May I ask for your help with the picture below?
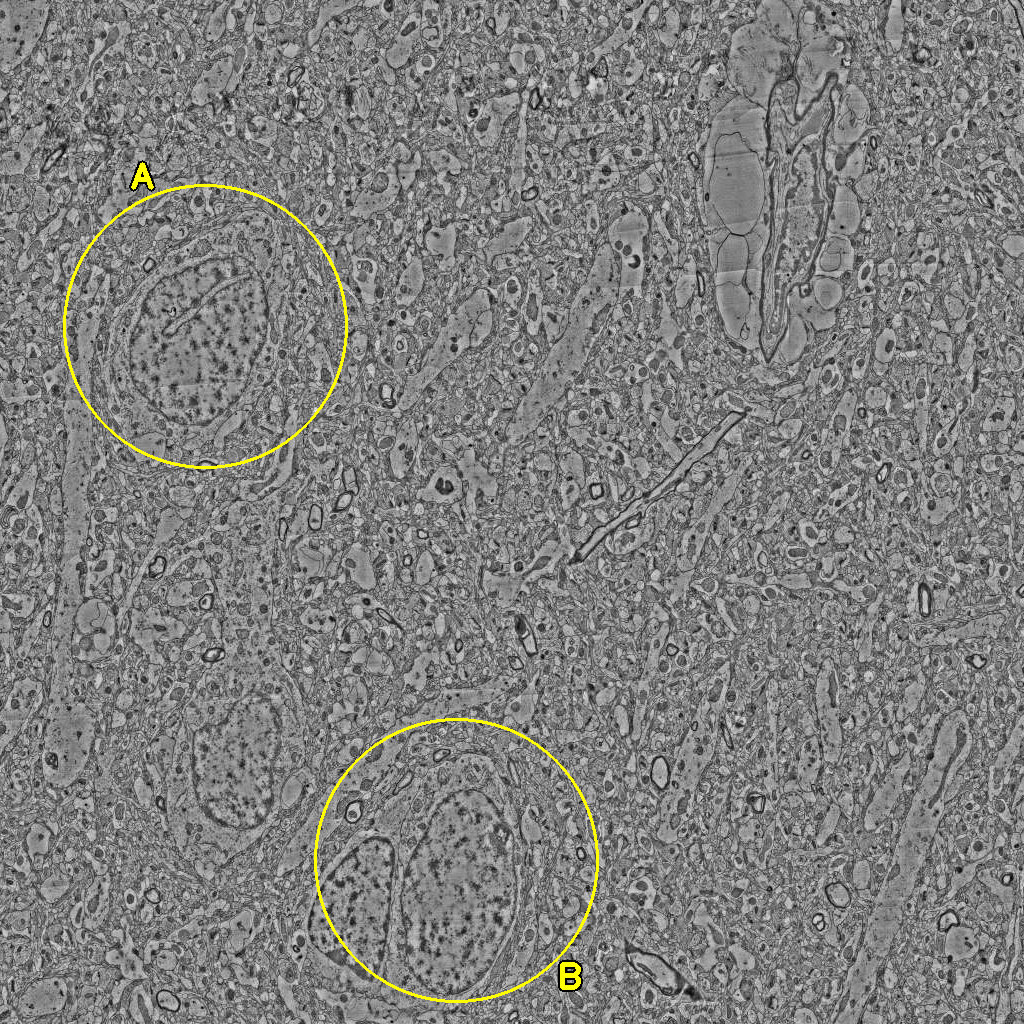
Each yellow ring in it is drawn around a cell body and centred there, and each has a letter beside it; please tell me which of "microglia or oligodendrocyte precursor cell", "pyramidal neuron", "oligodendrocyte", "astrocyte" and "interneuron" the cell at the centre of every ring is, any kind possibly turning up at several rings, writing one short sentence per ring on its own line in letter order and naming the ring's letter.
Ring A is drawn around the cell body of an interneuron.
Ring B is drawn around the cell body of an interneuron.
